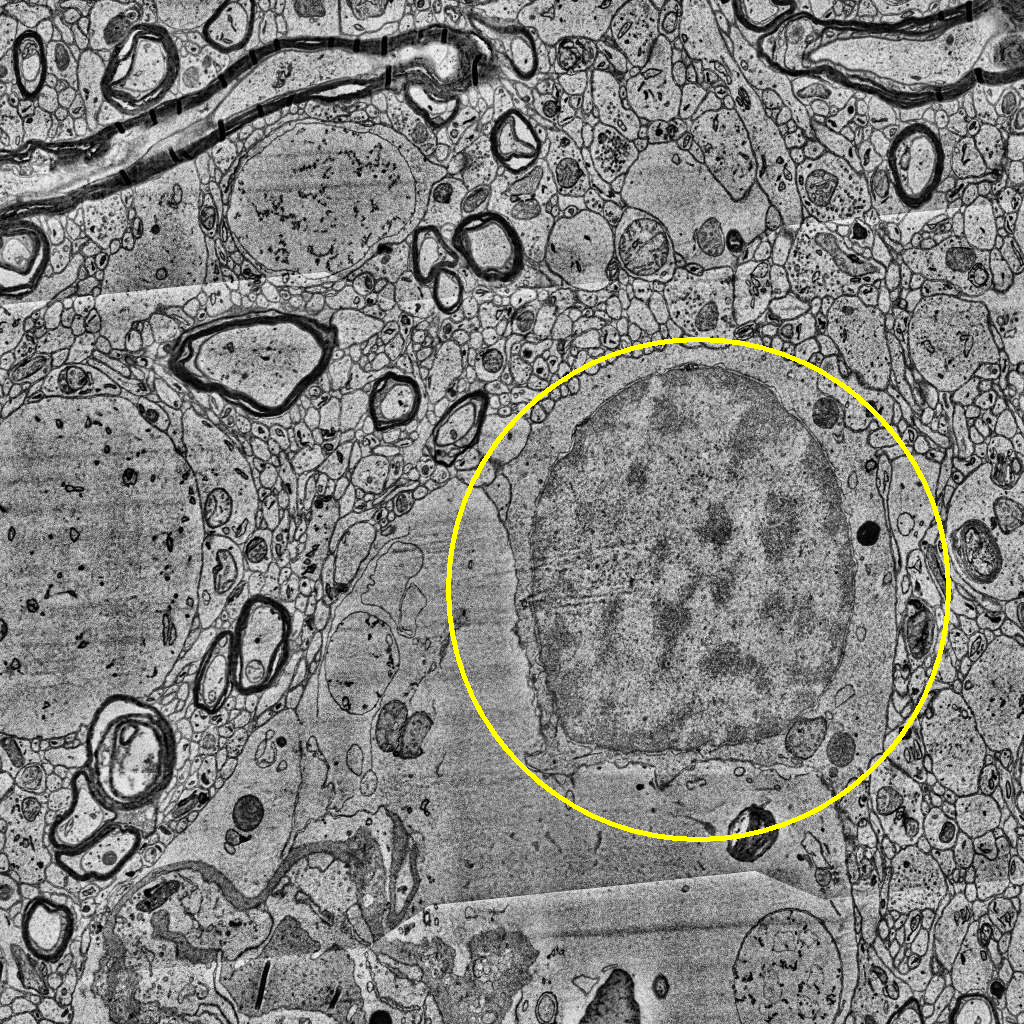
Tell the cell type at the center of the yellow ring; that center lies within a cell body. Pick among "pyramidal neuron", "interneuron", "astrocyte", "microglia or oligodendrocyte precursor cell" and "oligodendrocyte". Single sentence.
The ring's center lies in the body of an oligodendrocyte.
